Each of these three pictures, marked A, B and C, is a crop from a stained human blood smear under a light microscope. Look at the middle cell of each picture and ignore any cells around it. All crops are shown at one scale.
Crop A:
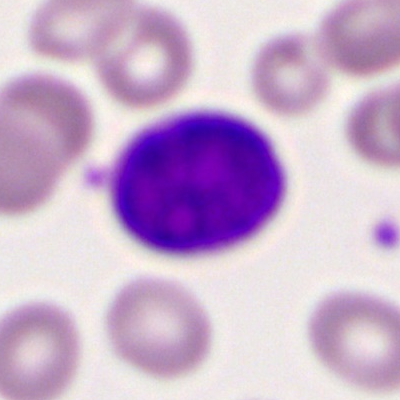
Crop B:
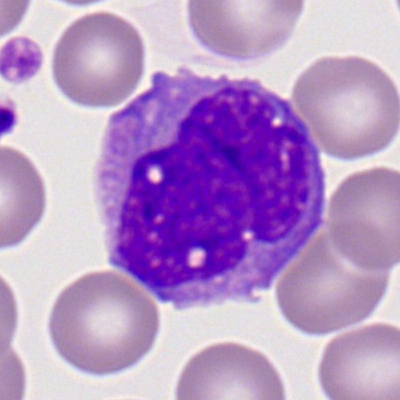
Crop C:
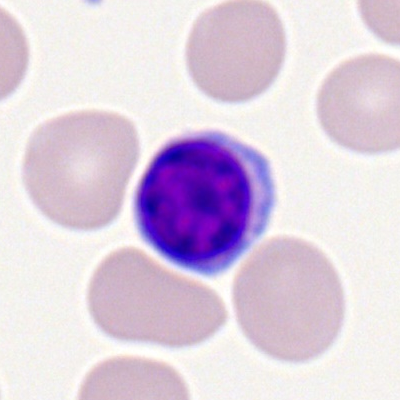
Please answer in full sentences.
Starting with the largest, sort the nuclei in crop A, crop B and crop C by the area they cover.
Largest first: B, A, C.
